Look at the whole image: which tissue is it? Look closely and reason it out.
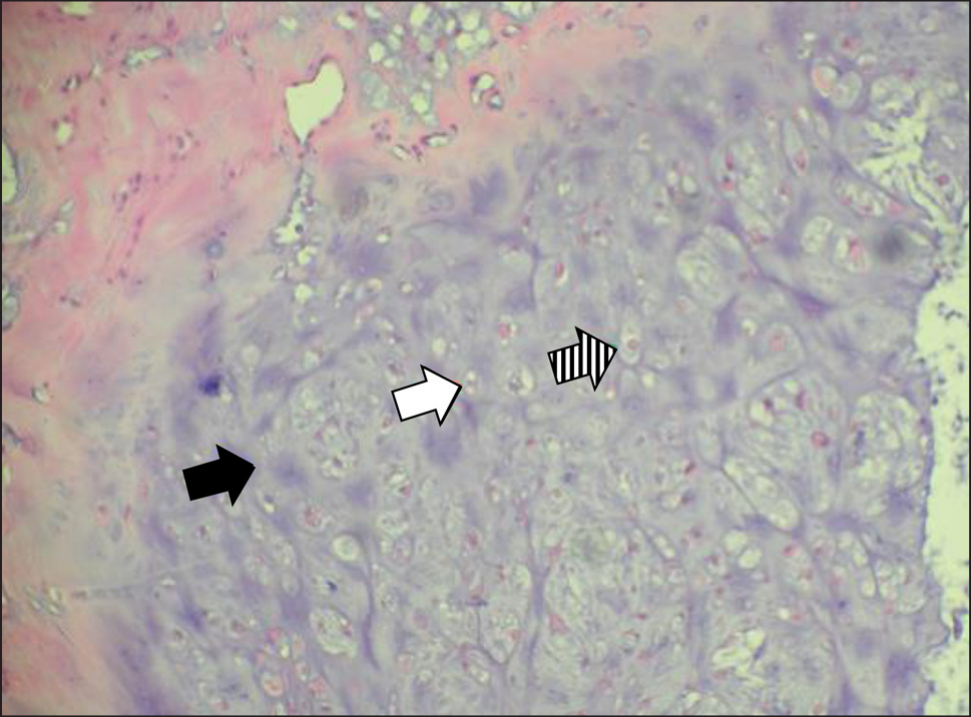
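Cells lie in clear spaces scattered through a bluish-purple glassy matrix. Cells are moderately spaced rather than tightly packed. On this evidence: cartilaginous tissue.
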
